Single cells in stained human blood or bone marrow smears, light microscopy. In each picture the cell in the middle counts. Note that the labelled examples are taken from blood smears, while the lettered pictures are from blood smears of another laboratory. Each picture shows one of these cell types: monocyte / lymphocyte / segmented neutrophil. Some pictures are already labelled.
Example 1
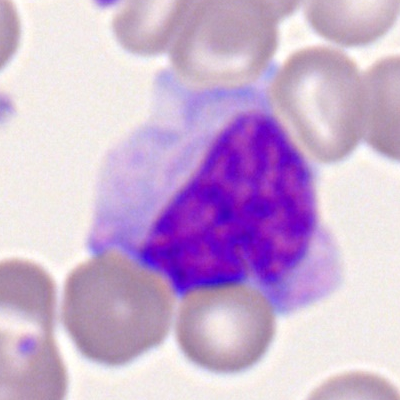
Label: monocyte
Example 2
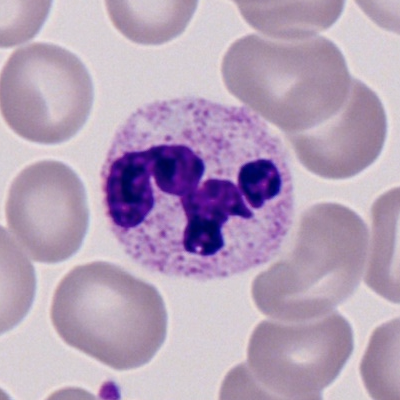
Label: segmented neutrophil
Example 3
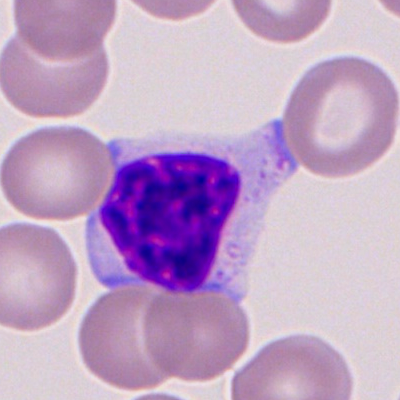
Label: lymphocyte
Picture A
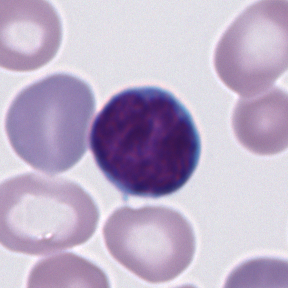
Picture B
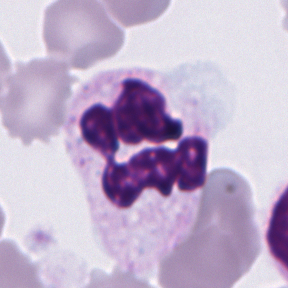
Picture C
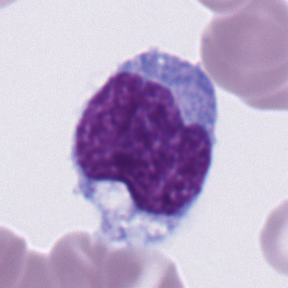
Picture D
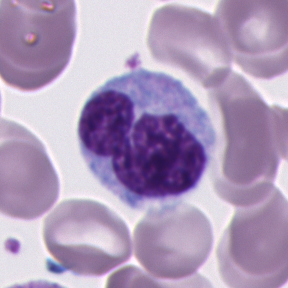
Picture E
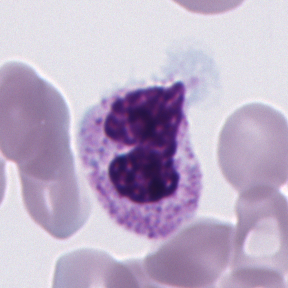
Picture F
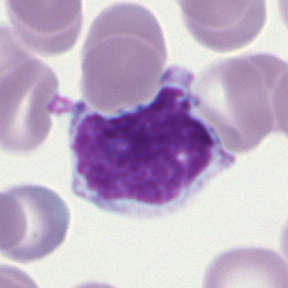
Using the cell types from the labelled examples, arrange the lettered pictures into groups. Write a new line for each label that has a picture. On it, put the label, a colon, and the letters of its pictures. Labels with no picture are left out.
monocyte: C, D
lymphocyte: A, F
segmented neutrophil: B, E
